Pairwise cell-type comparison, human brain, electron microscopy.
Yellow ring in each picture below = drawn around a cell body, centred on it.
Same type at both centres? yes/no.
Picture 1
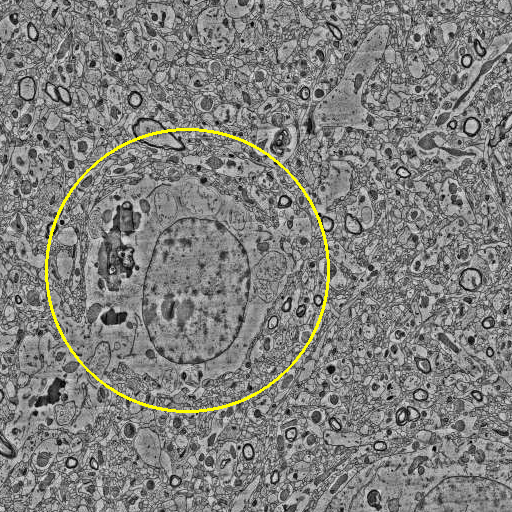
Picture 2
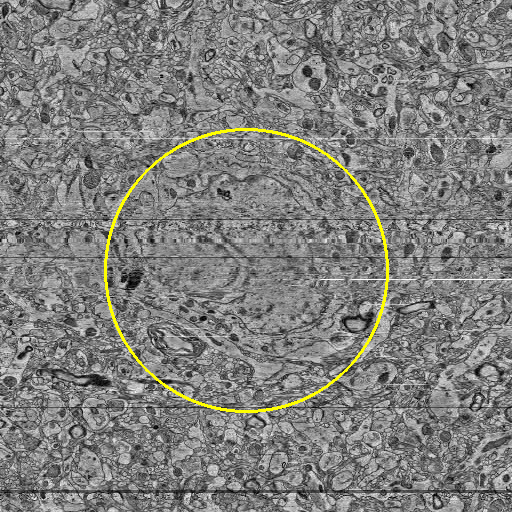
no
